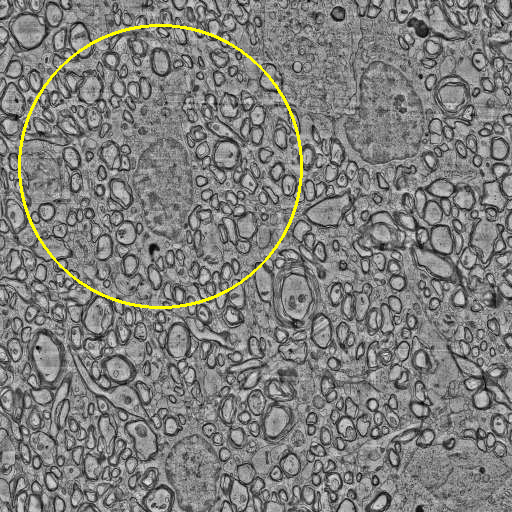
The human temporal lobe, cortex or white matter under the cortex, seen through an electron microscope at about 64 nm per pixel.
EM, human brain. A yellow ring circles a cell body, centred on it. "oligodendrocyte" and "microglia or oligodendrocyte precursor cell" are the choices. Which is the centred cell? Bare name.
oligodendrocyte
